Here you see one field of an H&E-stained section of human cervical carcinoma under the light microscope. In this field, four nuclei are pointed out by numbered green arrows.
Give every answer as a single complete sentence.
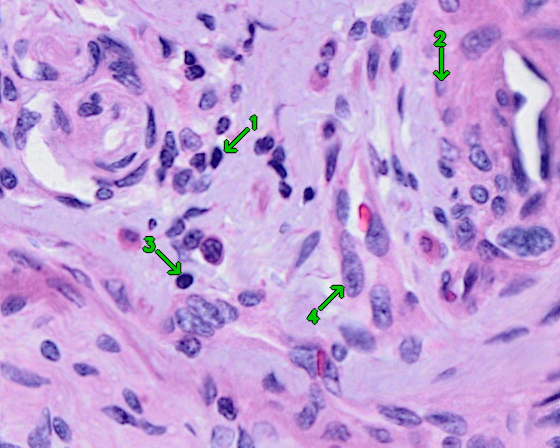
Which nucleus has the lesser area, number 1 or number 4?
Nucleus 1 is the smaller one; nucleus 4 covers about 3 times its area.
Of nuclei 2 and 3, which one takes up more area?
Nucleus 3 is larger, with an area about 2 times that of nucleus 2.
